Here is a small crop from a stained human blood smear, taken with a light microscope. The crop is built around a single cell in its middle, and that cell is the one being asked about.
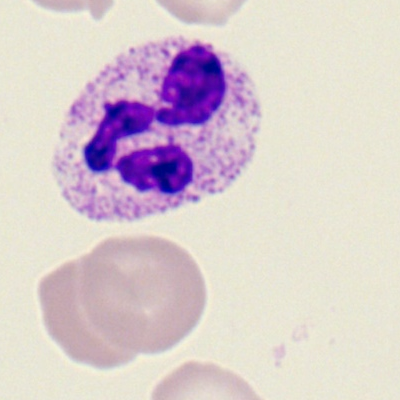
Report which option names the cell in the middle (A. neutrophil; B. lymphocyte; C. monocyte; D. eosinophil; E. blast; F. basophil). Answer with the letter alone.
A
